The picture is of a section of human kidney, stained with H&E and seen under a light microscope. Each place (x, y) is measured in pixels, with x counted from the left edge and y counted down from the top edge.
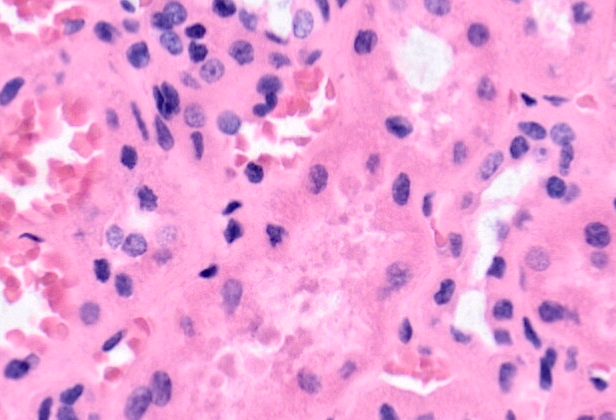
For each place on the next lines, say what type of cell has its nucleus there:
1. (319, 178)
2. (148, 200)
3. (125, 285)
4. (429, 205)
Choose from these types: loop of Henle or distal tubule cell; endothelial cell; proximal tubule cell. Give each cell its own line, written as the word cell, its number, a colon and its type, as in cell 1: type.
cell 1: proximal tubule cell
cell 2: loop of Henle or distal tubule cell
cell 3: loop of Henle or distal tubule cell
cell 4: endothelial cell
